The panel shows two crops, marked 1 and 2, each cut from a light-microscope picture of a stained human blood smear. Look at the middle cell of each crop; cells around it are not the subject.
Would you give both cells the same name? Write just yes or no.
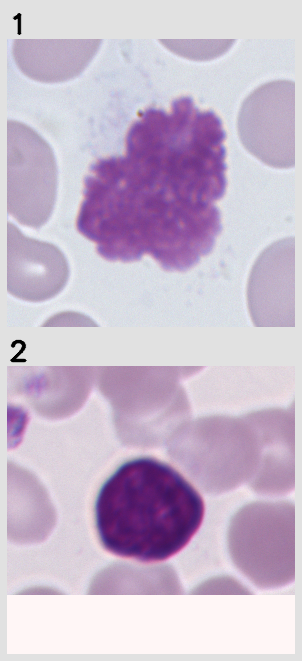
yes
